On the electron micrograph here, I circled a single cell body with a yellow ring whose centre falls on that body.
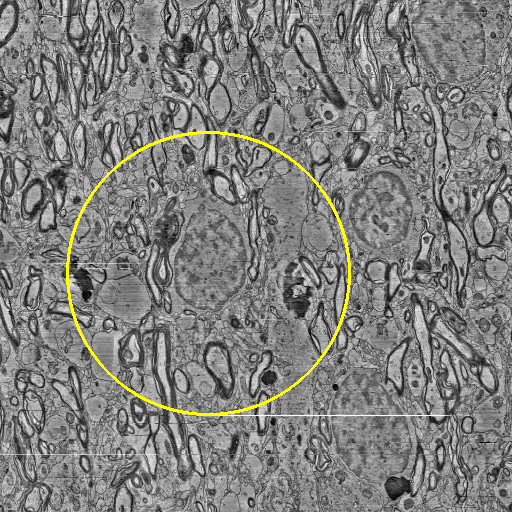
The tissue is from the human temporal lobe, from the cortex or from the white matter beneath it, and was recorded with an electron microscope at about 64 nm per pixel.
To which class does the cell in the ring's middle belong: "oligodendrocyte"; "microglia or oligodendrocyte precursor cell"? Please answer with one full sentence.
In this picture, the cell body circled at the ring's centre belongs to an oligodendrocyte.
